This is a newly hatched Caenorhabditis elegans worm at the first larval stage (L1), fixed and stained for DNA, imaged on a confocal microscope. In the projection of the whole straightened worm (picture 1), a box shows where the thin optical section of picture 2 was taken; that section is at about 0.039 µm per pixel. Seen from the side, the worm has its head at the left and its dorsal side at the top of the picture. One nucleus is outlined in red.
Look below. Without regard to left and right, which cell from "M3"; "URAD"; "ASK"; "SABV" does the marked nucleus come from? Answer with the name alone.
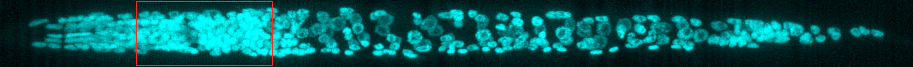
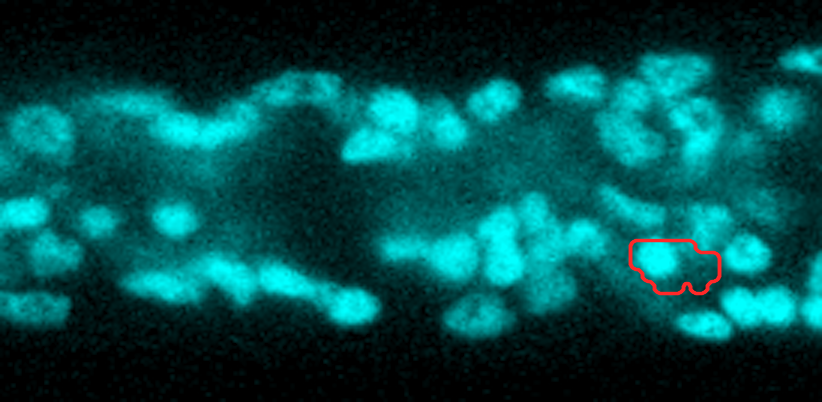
SABV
